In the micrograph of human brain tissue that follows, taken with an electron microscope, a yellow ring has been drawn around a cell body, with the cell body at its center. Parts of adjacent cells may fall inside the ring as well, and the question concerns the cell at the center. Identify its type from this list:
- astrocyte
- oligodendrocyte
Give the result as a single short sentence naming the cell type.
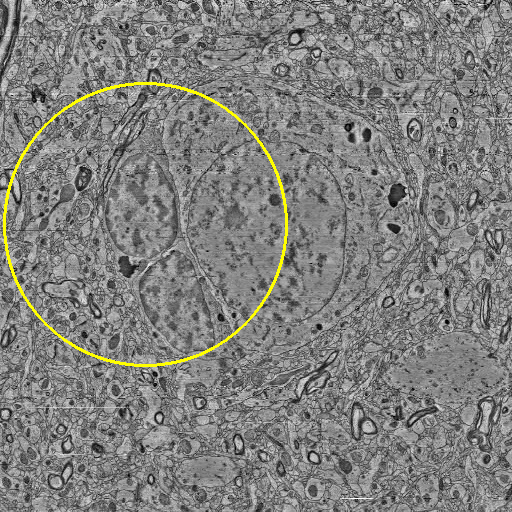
The ring is centered on an oligodendrocyte.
